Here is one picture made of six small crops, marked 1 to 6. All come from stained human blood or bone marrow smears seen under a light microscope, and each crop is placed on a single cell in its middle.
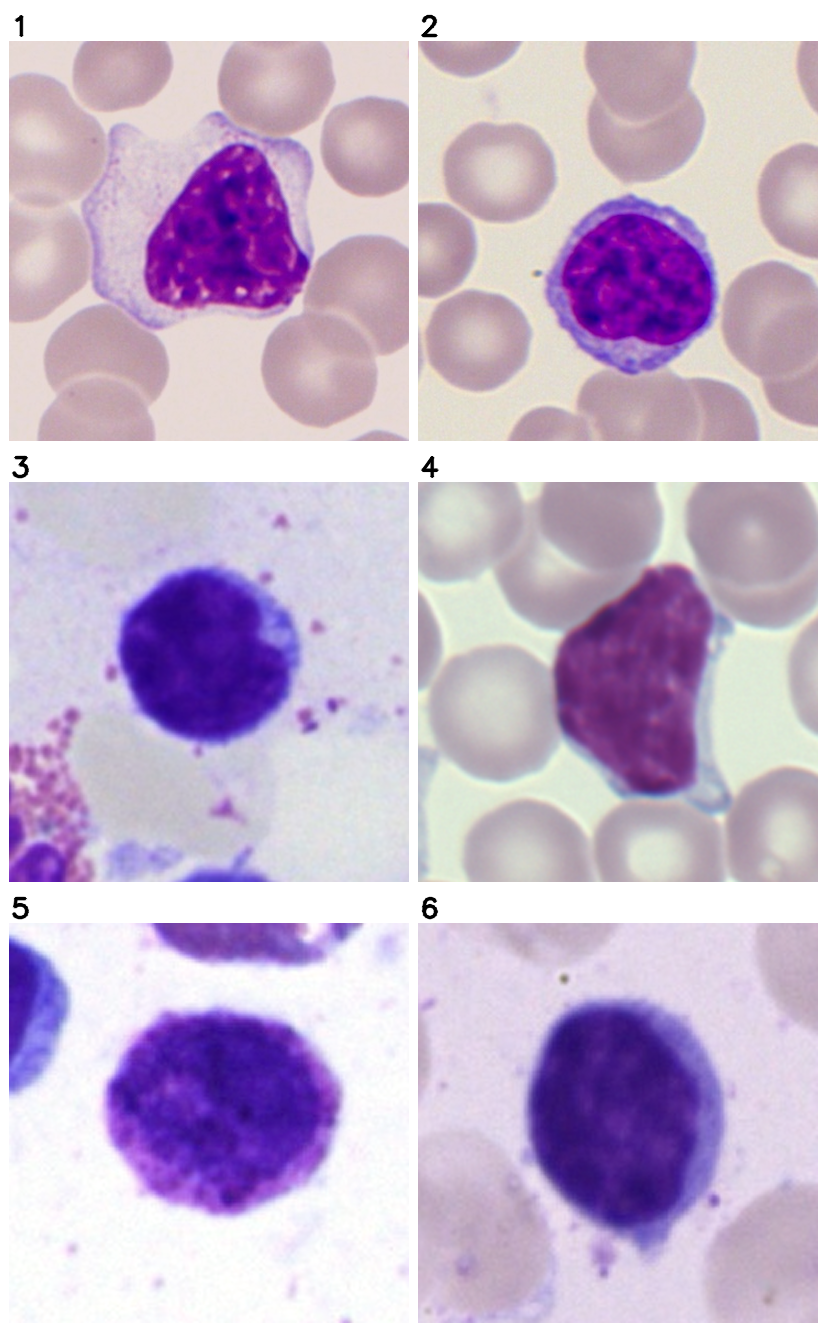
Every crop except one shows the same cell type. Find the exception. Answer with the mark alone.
5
